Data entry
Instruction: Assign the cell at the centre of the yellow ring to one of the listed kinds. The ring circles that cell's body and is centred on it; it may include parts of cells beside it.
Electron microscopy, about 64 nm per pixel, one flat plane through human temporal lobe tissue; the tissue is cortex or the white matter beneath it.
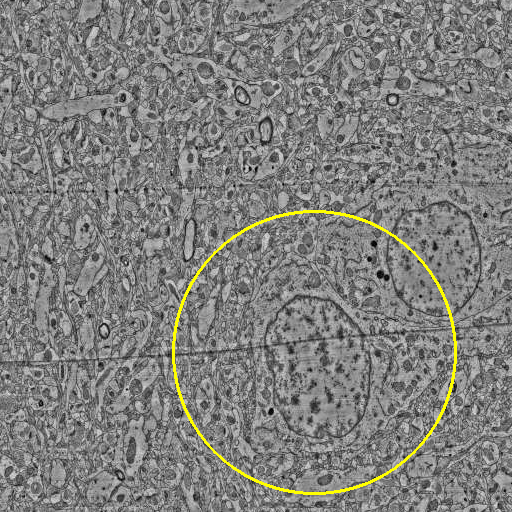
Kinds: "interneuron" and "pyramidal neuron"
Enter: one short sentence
The centre of the ring falls on a pyramidal neuron.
